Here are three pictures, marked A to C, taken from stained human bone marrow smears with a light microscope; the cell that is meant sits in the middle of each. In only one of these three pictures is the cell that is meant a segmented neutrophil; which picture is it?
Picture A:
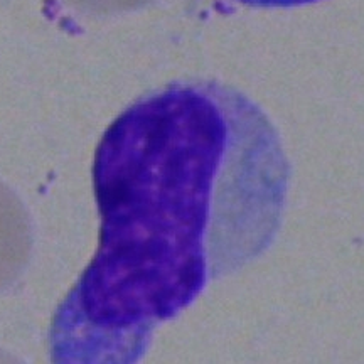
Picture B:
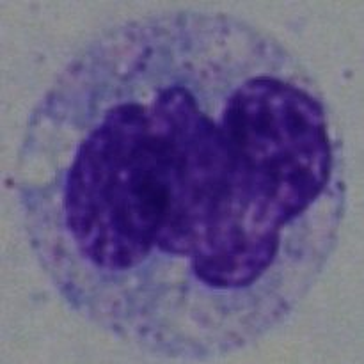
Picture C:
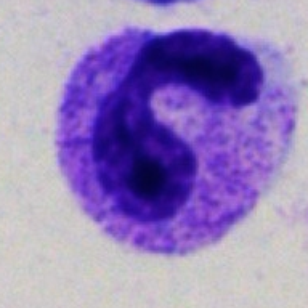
C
